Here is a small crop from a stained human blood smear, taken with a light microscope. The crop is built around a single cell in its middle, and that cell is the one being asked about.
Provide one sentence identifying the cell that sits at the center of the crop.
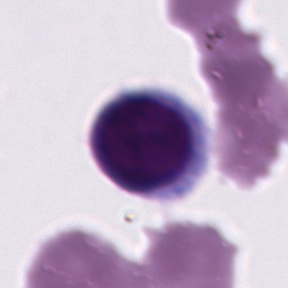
The centrally positioned cell in the crop represents a hairy cell.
